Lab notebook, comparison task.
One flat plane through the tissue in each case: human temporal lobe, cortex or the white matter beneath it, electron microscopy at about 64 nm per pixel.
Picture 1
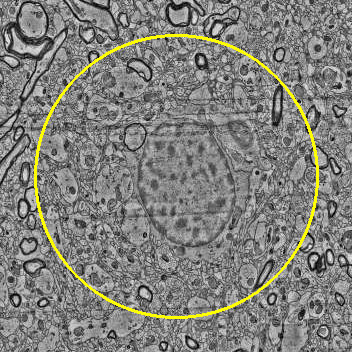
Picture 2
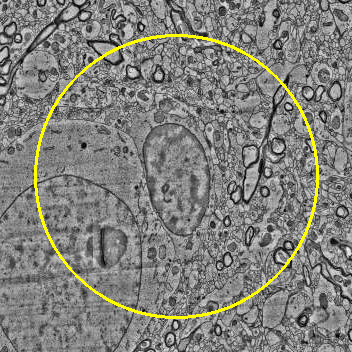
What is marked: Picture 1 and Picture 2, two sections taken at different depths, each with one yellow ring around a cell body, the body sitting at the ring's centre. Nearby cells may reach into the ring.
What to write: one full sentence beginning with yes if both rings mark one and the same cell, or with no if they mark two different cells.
No, marked by the two rings are two different cells.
